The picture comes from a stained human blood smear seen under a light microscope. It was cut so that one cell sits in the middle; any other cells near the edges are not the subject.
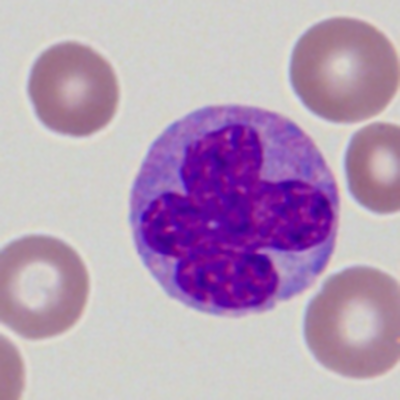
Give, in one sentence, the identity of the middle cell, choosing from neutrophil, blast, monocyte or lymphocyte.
The middle position in this crop is taken by a monocyte.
